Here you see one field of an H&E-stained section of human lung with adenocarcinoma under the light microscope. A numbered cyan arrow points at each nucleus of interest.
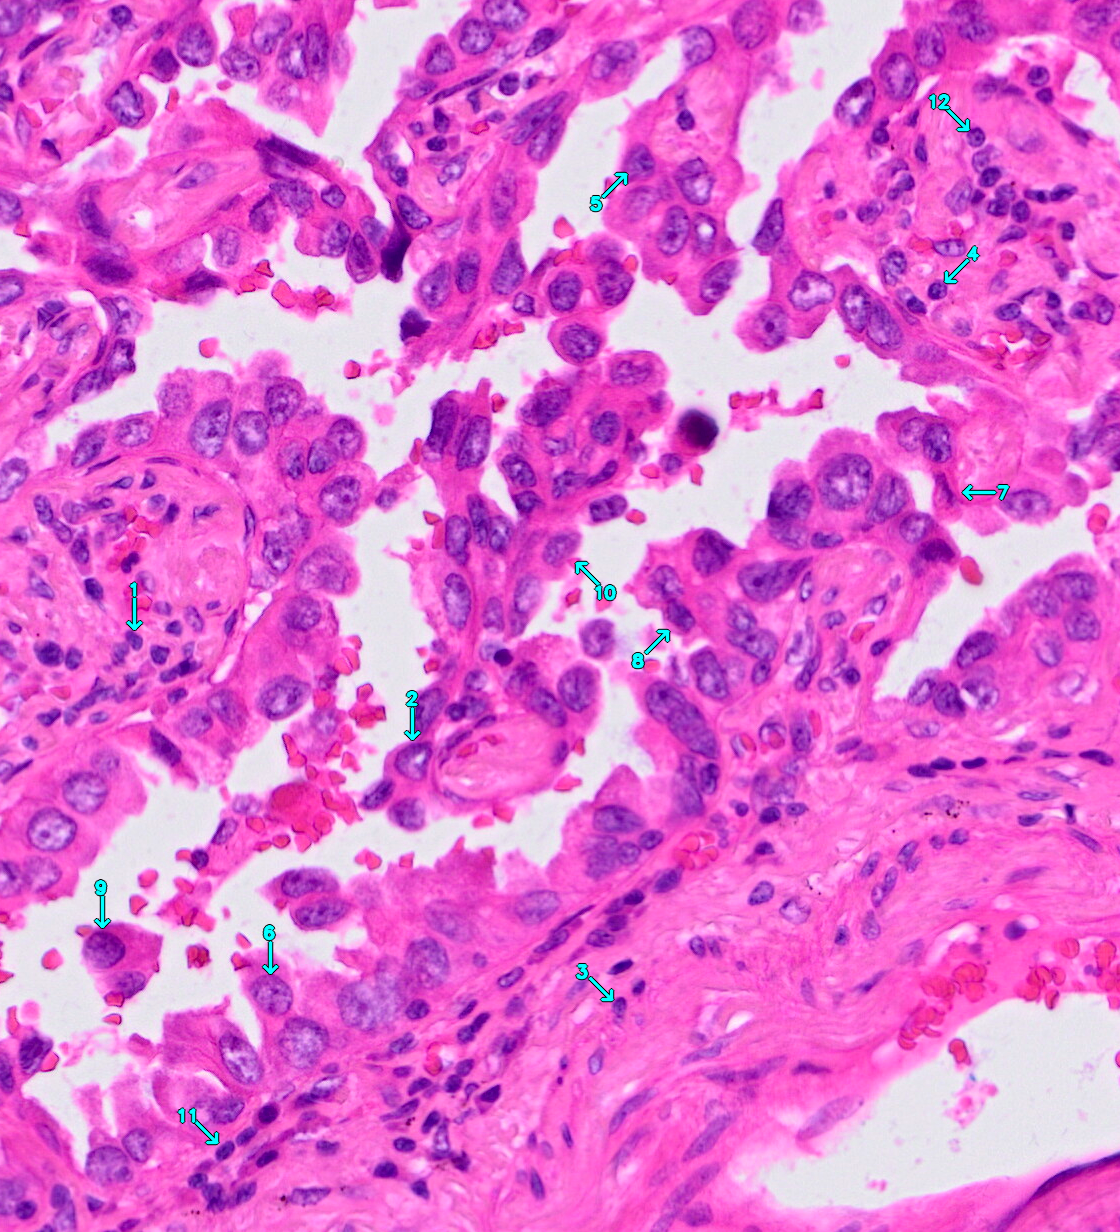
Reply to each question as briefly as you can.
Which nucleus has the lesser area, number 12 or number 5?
12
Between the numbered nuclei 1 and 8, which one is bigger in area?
8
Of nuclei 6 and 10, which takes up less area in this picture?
10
